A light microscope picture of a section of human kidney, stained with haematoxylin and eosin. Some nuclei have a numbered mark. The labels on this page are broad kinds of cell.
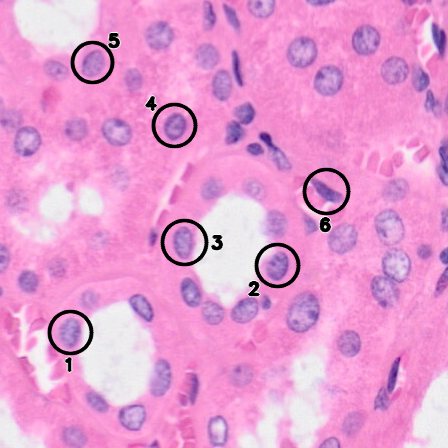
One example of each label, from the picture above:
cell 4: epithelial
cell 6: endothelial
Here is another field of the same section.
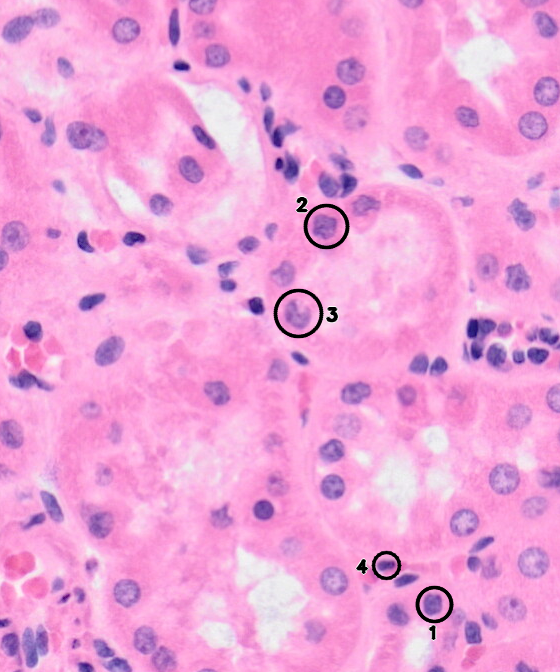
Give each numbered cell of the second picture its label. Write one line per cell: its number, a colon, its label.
1: epithelial
2: epithelial
3: epithelial
4: endothelial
